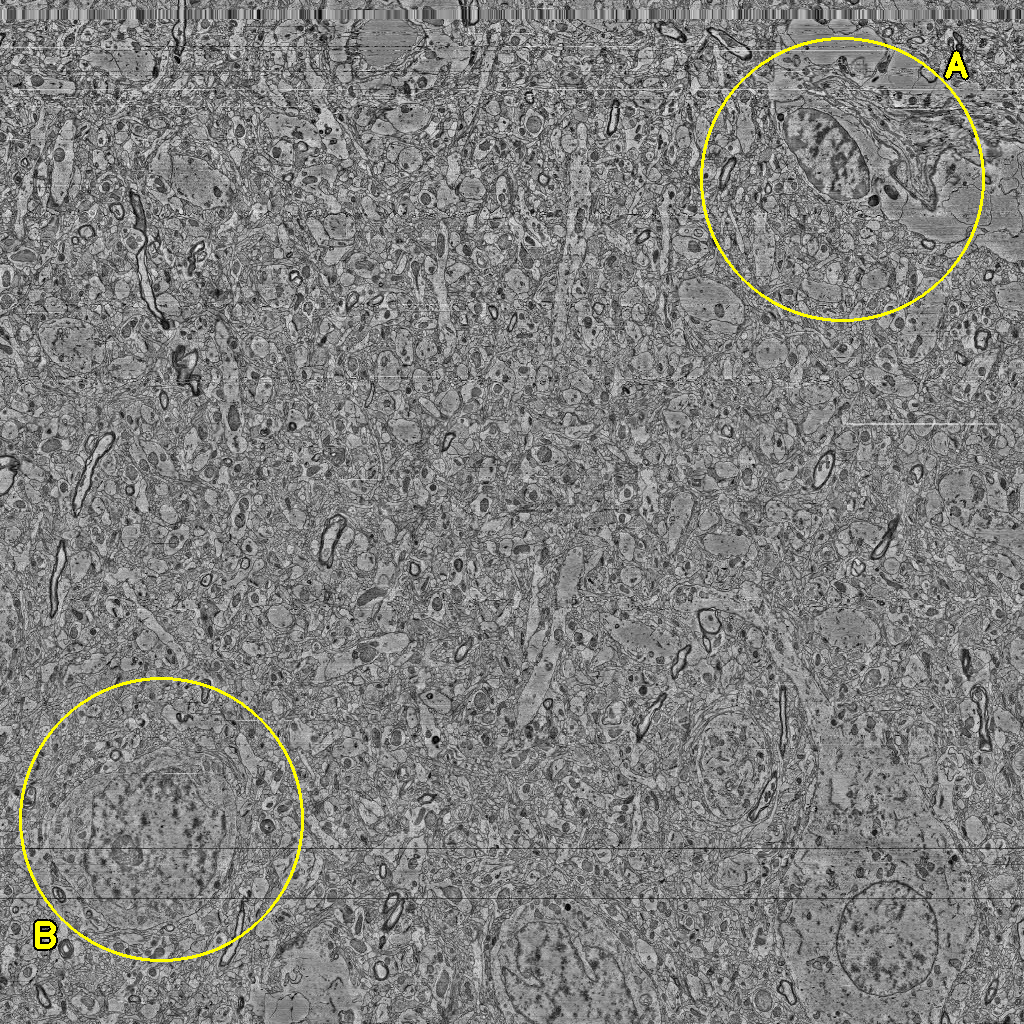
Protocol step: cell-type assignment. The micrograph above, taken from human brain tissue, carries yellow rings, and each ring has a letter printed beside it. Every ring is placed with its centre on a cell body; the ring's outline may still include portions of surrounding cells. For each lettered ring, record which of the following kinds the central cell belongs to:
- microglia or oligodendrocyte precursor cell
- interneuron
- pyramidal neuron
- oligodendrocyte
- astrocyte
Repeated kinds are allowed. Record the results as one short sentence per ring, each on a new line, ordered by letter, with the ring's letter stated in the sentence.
In ring A, the central cell is a microglial cell or oligodendrocyte precursor cell.
In ring B, the central cell is an interneuron.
